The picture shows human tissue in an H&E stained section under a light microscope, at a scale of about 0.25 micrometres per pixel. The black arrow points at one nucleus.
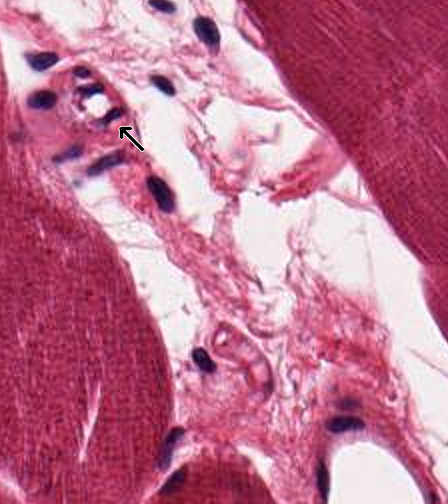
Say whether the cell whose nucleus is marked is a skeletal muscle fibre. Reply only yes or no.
no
